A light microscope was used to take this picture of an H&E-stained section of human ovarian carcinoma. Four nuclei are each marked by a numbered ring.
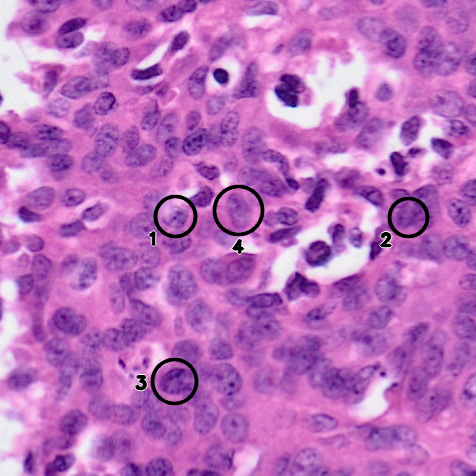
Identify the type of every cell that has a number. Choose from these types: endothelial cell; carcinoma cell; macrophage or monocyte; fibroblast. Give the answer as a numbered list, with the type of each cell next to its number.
1. macrophage or monocyte
2. carcinoma cell
3. carcinoma cell
4. carcinoma cell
